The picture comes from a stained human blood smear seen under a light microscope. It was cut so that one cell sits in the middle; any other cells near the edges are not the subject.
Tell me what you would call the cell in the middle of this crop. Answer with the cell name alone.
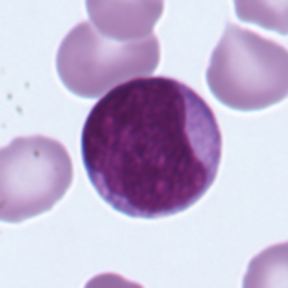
myeloblast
